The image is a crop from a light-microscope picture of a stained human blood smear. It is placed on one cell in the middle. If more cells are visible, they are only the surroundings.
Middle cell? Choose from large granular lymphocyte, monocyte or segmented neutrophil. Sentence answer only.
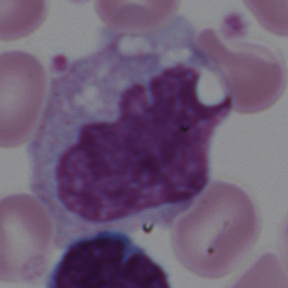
What the crop centres on is a monocyte.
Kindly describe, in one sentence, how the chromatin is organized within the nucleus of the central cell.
Check the chromatin: it is fine and not coarsely clumped.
